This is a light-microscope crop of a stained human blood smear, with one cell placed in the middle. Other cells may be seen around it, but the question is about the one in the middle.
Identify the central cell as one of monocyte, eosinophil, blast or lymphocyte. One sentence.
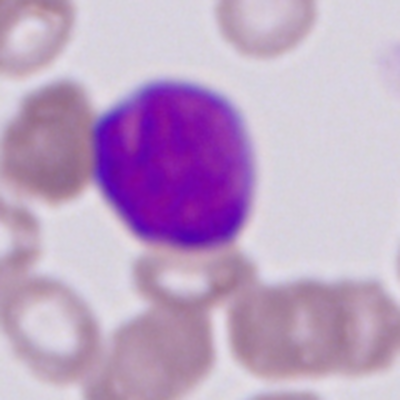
At the crop's centre, the cell is a blast.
